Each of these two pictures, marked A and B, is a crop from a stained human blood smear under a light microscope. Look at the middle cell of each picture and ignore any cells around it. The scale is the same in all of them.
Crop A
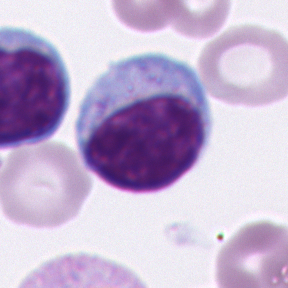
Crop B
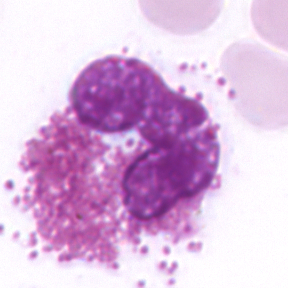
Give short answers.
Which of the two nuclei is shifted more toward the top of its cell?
B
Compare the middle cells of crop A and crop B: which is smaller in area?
A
